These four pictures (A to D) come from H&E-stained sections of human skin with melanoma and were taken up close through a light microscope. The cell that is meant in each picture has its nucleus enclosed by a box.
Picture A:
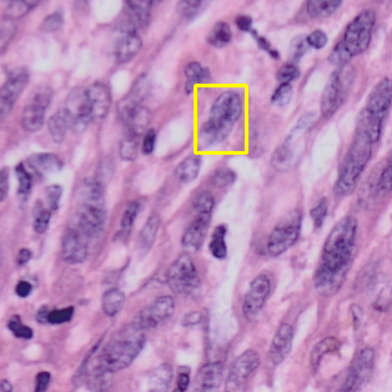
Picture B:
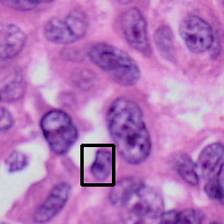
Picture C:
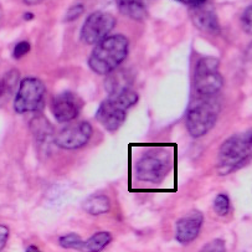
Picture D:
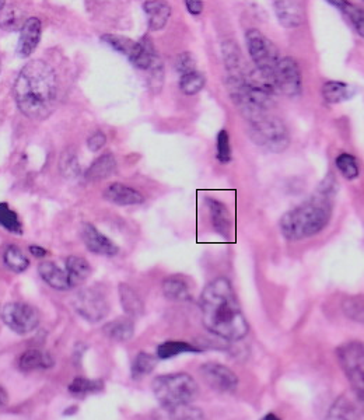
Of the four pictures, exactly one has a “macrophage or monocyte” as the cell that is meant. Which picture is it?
D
